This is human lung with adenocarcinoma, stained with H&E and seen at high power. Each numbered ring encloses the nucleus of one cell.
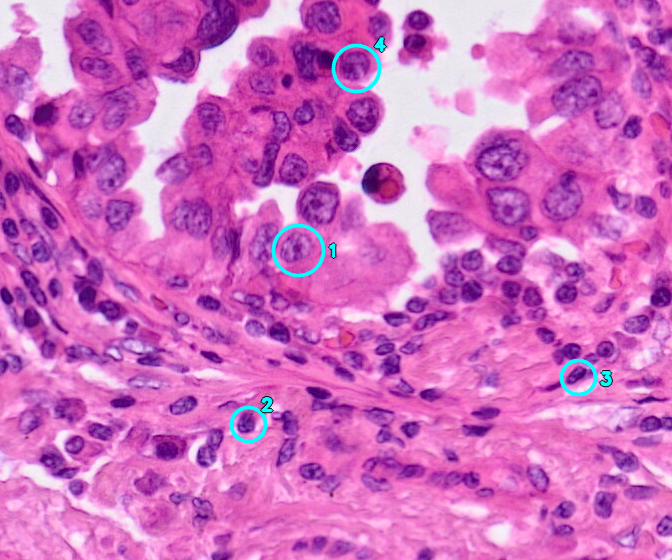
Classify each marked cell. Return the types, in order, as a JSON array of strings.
["carcinoma cell", "lymphocyte", "lymphocyte", "carcinoma cell"]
